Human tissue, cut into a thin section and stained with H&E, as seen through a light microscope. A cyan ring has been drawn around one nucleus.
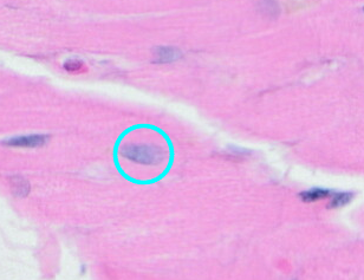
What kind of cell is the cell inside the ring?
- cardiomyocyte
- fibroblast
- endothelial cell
cardiomyocyte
